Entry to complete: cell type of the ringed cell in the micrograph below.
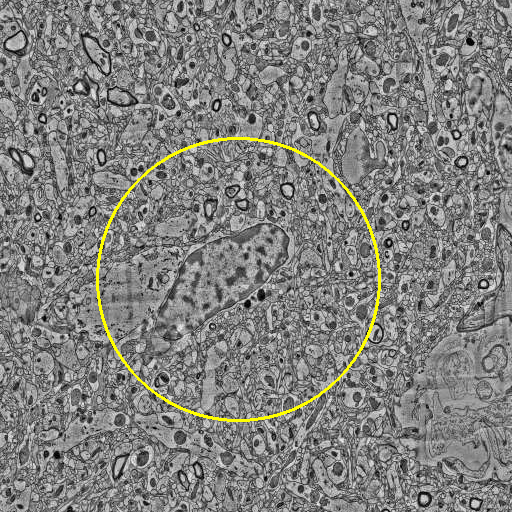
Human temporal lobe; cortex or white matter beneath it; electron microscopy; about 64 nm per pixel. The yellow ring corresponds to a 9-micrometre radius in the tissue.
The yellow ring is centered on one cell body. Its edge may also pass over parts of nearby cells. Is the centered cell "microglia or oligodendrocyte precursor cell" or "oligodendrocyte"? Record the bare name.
microglia or oligodendrocyte precursor cell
